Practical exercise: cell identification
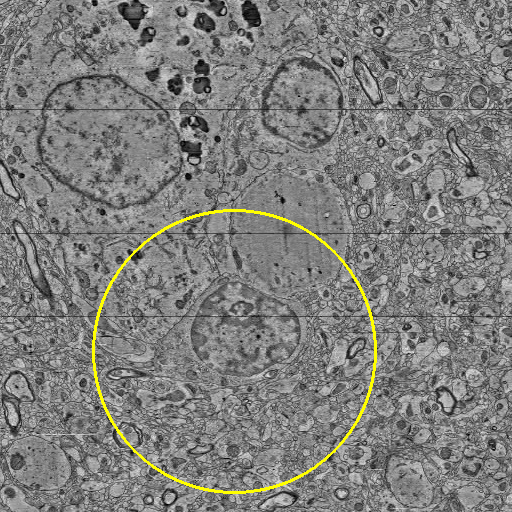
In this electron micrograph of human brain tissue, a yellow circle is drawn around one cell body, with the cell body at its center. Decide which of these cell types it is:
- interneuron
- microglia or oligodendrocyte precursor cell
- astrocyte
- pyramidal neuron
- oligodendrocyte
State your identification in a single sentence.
The ringed cell is an oligodendrocyte.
